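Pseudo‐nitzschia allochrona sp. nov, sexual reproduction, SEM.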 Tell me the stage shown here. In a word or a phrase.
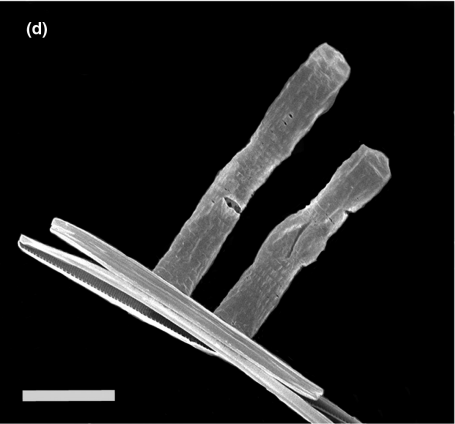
Elongated auxospores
